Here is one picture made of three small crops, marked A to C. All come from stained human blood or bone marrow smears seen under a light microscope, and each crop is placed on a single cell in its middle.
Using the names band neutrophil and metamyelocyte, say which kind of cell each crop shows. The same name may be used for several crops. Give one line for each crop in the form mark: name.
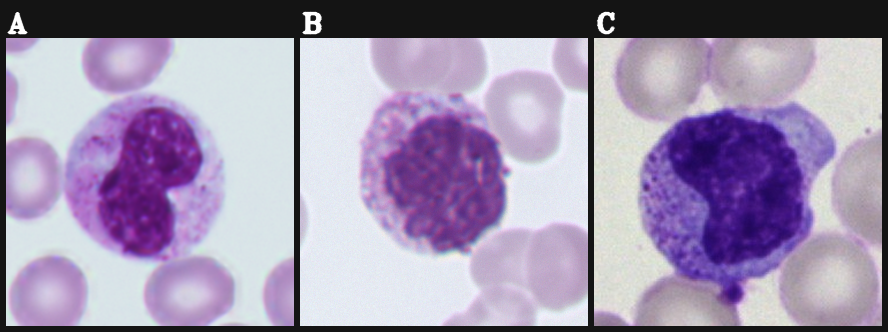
A: metamyelocyte
B: band neutrophil
C: metamyelocyte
